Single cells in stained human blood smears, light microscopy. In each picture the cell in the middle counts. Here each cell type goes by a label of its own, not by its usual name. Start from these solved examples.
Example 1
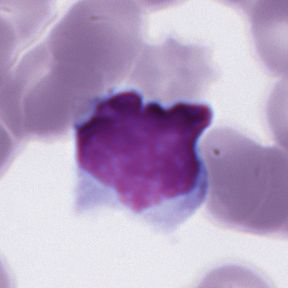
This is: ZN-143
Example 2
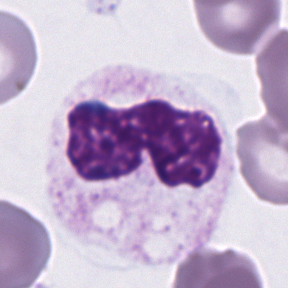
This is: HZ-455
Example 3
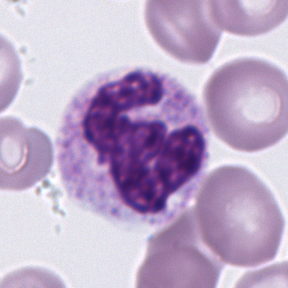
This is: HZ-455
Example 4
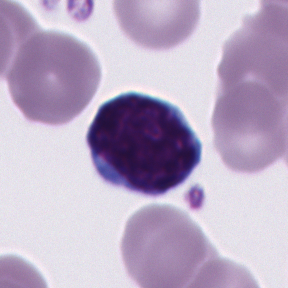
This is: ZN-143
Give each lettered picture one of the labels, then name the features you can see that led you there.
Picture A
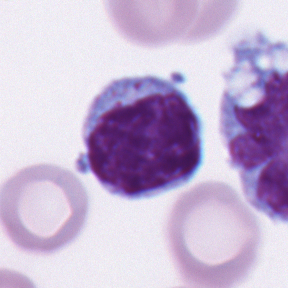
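ZN-143. The cytoplasm forms a thin crescent that is widest at the upper left.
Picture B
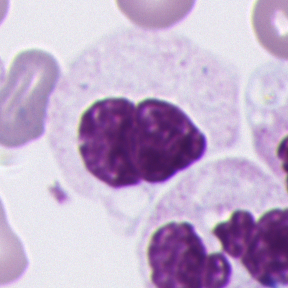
HZ-455. The cytoplasm is abundant and is widest above the nucleus.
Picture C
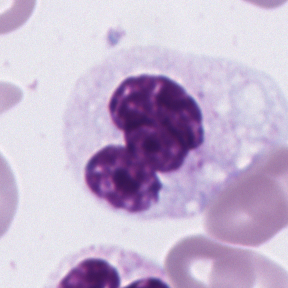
HZ-455. The cytoplasm is abundant and pale greyish-lilac.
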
